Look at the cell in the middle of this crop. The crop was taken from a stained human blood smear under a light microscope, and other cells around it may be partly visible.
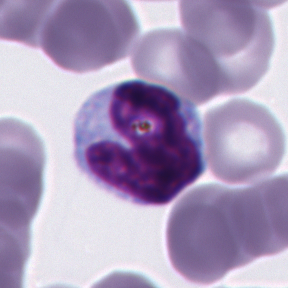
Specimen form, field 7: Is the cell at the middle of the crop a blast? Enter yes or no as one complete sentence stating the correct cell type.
No, the centred cell is a lymphocyte, and it is not a blast.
